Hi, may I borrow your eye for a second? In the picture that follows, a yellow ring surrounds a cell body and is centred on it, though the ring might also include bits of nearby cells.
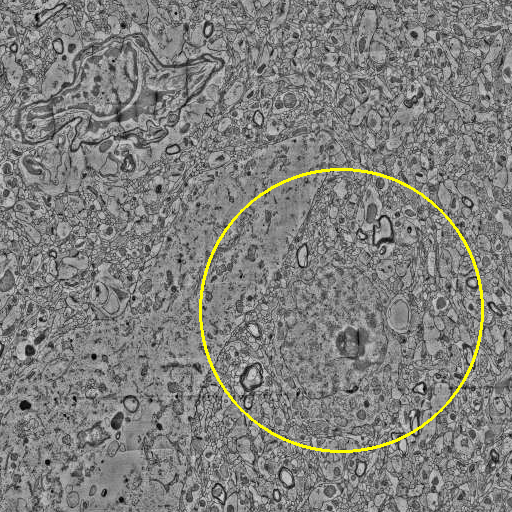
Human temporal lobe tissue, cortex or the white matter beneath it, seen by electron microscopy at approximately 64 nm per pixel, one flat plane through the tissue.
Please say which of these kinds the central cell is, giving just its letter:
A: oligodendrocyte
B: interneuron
B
